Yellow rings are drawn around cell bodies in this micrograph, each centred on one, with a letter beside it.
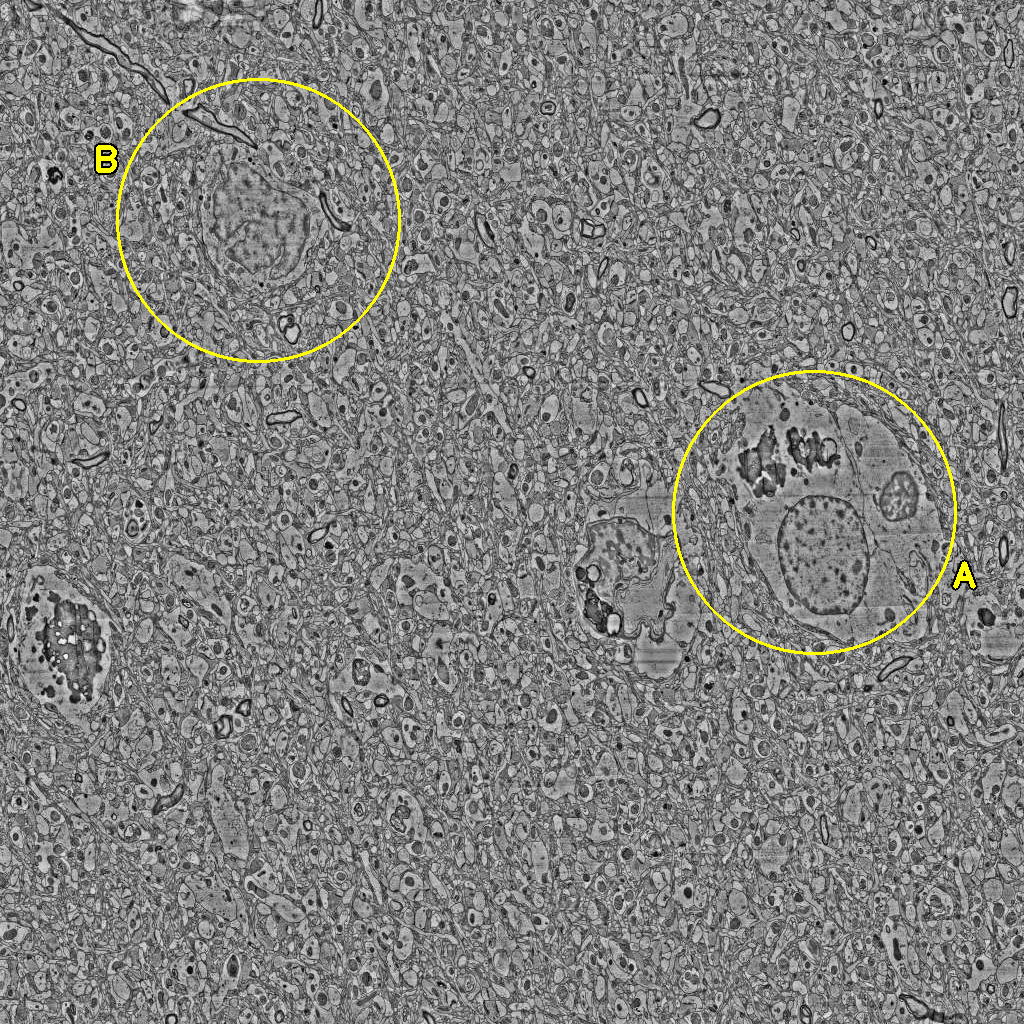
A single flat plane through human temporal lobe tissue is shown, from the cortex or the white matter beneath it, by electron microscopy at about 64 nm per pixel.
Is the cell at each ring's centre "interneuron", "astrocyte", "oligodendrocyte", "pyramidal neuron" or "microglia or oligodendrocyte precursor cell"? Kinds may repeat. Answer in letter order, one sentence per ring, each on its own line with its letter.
In ring A, the cell at the centre is an astrocyte.
In ring B, the cell at the centre is an interneuron.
